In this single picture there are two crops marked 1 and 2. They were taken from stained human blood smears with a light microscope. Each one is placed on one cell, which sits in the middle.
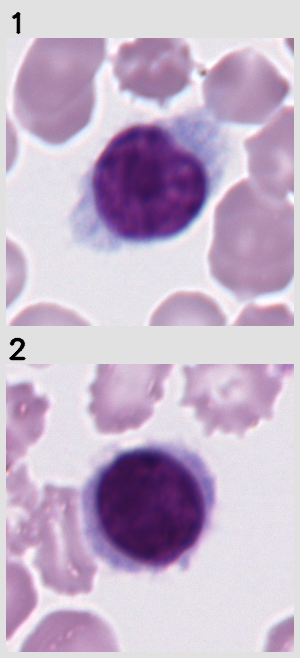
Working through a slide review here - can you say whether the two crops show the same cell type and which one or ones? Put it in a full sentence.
Yes, in the two crops, hairy cells are the cells at the centre.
